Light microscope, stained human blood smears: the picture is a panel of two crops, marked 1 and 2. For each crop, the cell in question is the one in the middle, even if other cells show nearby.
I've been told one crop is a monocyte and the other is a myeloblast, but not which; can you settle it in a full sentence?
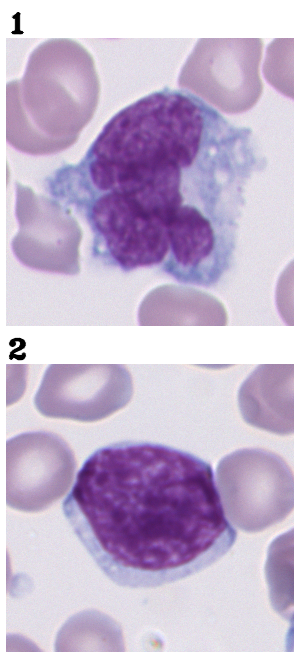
The cell in crop 1 is a monocyte, and the one in crop 2 is a myeloblast.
